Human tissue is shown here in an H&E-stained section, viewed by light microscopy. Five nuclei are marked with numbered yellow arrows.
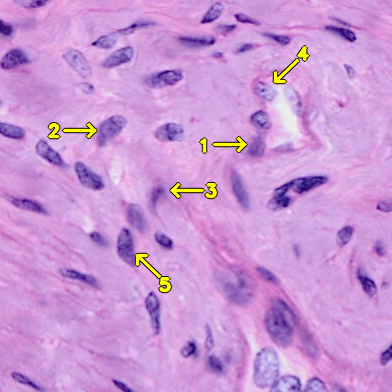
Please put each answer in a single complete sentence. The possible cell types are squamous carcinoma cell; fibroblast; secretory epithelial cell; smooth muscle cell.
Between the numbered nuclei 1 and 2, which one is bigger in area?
Nucleus 2 covers more area, about 1.5 times as much as nucleus 1.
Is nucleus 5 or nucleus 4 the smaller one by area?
Nucleus 4 covers less area, with nucleus 5 about 1.5 times as large.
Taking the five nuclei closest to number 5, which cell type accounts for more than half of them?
Around number 5, most of the five nearest nuclei are those of fibroblasts.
